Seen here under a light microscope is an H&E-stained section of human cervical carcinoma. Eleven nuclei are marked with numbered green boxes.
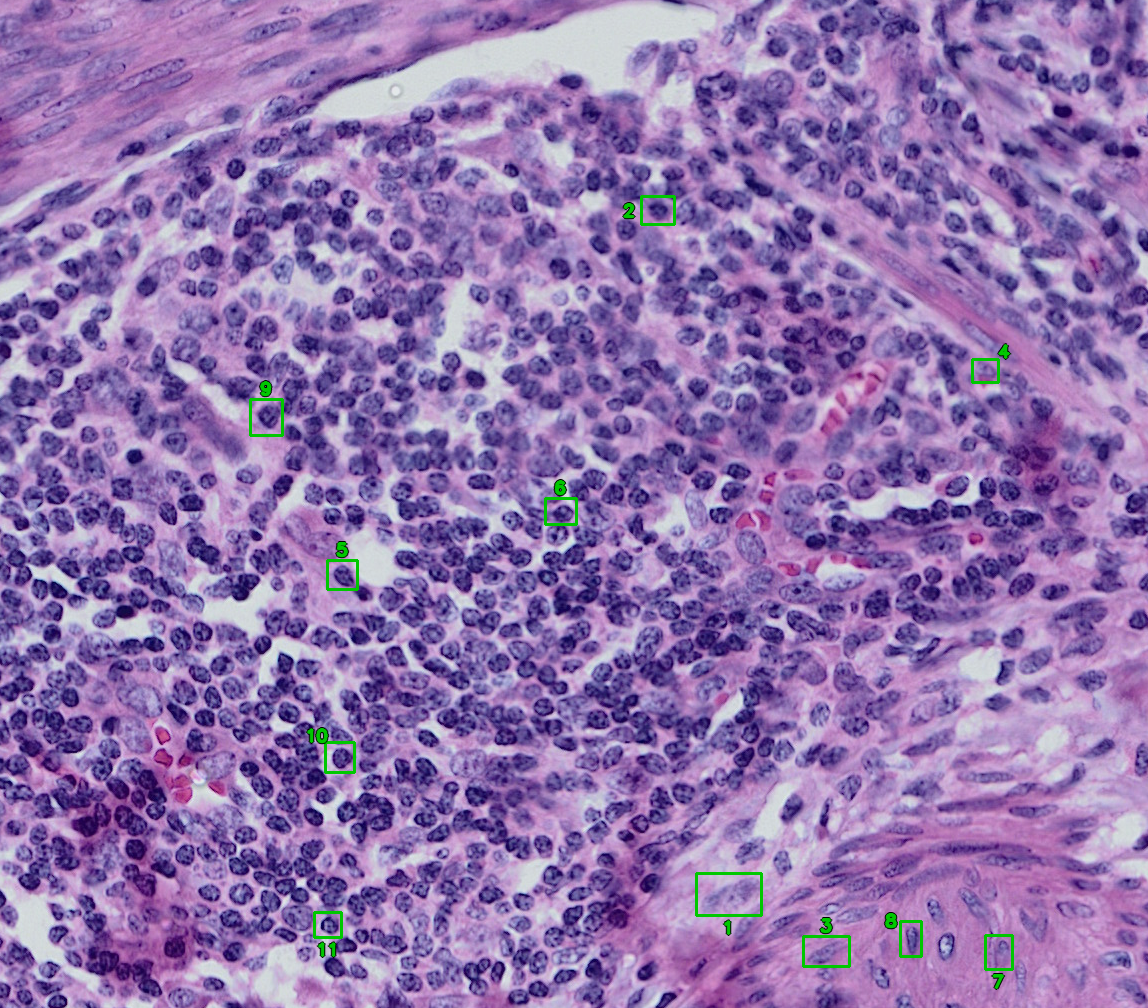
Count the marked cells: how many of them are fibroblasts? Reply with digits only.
1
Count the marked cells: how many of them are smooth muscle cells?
3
